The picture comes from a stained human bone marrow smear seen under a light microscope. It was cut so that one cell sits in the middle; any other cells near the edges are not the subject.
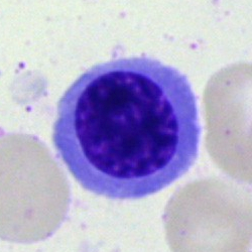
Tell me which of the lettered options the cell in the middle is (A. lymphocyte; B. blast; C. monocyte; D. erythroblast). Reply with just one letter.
D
